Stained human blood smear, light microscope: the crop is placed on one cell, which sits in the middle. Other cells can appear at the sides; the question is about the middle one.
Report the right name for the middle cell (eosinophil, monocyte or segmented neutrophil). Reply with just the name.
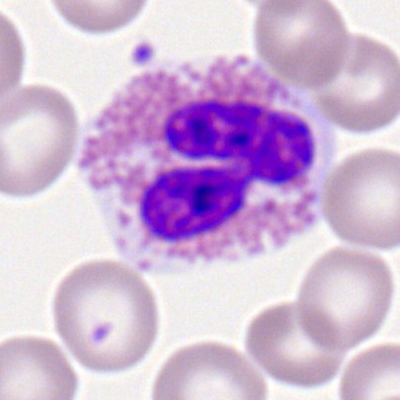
eosinophil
